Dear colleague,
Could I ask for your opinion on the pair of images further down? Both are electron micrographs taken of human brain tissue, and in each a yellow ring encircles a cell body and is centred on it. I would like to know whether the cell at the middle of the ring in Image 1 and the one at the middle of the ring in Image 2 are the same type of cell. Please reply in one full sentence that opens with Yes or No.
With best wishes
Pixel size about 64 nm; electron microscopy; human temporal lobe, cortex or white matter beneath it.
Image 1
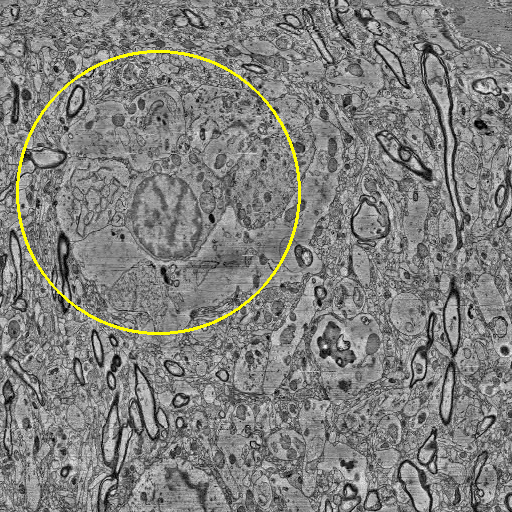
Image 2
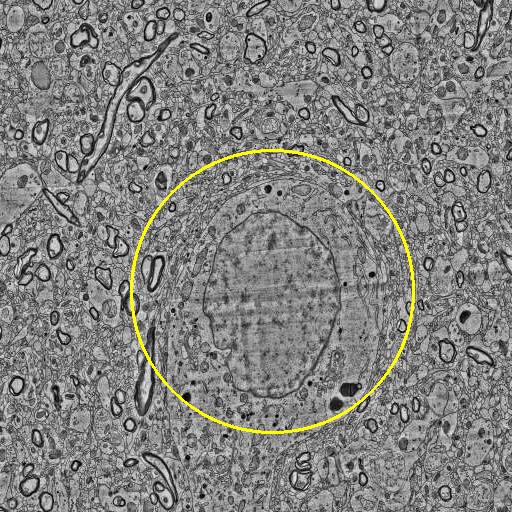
No, the cells at the ring centres in Image 1 and Image 2 are of two types.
